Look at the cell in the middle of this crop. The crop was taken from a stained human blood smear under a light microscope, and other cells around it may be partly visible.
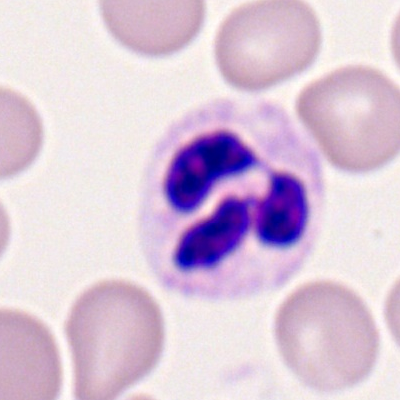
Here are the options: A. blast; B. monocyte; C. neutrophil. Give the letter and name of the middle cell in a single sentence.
The centered cell is a neutrophil, which is why option C is right.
